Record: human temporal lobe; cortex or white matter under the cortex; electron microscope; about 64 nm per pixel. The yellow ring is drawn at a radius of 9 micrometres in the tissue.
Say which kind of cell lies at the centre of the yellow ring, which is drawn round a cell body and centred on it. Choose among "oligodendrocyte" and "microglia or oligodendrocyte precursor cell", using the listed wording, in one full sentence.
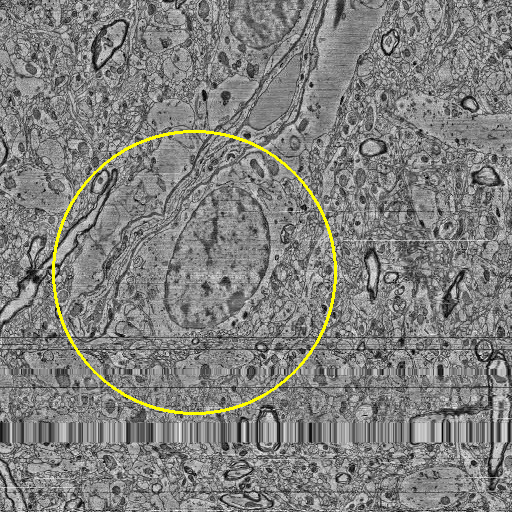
Going by the list, the cell at the yellow ring's centre is a microglial cell or oligodendrocyte precursor cell.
